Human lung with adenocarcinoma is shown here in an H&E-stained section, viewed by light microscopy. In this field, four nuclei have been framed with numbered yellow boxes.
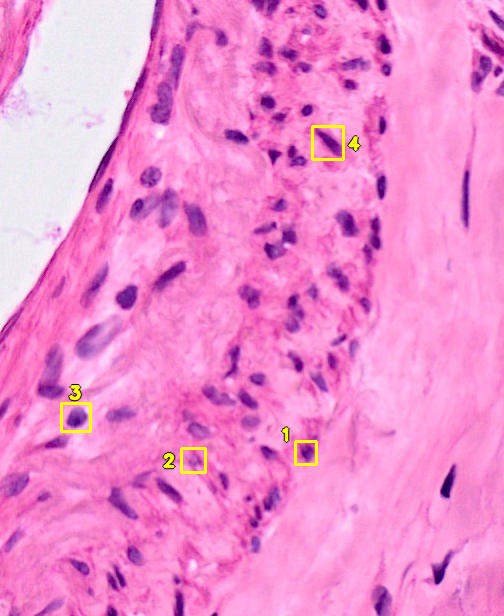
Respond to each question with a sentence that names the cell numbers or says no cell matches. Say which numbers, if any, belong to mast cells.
The group of numbered cells contains no mast cells.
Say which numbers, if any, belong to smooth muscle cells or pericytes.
So, the cells with numbers 1, 2 and 4 are smooth muscle cells or pericytes.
